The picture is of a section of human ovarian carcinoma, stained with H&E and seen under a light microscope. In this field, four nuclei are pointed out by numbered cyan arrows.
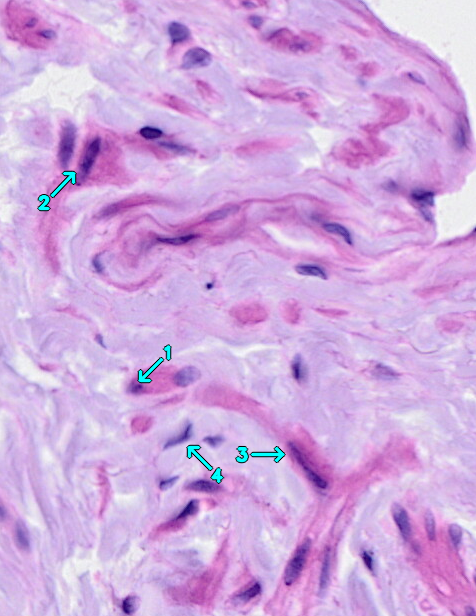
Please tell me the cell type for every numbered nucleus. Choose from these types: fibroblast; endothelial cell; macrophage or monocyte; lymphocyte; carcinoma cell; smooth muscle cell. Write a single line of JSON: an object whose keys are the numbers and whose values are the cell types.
{"1": "smooth muscle cell", "2": "smooth muscle cell", "3": "smooth muscle cell", "4": "fibroblast"}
